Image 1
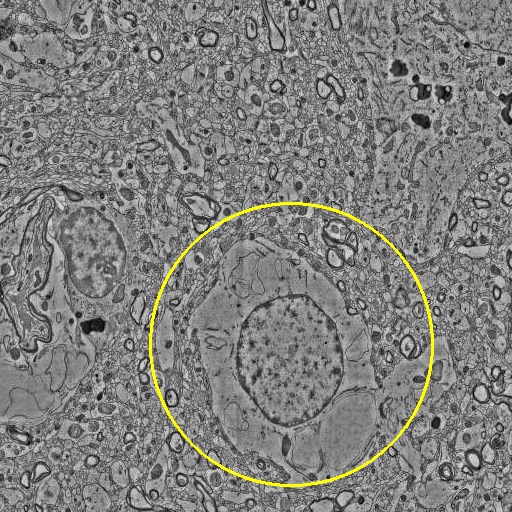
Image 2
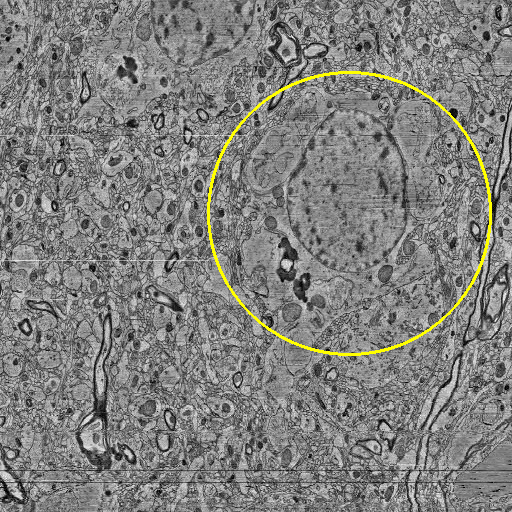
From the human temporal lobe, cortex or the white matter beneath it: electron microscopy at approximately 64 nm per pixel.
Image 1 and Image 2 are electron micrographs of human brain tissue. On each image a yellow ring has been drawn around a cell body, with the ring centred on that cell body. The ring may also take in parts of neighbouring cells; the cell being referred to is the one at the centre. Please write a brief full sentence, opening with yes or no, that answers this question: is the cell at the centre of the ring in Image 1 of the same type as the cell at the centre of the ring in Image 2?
Yes, both cells are of the same type.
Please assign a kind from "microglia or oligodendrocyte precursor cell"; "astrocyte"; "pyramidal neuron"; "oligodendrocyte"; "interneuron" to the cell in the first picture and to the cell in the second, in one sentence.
Both cells are the same kind, each one being an astrocyte.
